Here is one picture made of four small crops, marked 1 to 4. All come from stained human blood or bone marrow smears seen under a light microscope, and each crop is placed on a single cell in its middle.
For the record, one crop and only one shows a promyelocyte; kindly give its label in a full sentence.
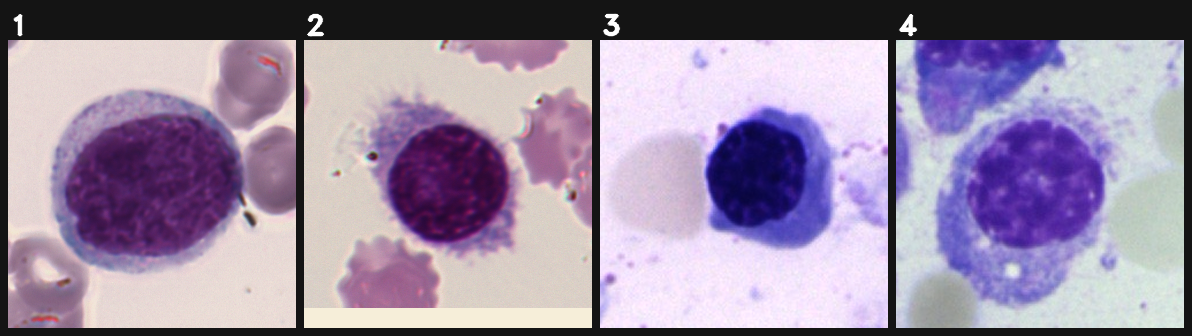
Crop 1, and no other, shows a promyelocyte.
